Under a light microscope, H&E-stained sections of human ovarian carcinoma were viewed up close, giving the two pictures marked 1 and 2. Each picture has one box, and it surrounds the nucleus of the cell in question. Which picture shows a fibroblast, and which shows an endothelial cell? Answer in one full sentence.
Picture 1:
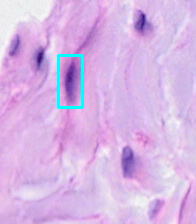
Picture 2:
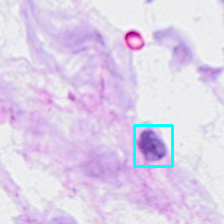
Picture 1 is of an endothelial cell, and picture 2 is of a fibroblast.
